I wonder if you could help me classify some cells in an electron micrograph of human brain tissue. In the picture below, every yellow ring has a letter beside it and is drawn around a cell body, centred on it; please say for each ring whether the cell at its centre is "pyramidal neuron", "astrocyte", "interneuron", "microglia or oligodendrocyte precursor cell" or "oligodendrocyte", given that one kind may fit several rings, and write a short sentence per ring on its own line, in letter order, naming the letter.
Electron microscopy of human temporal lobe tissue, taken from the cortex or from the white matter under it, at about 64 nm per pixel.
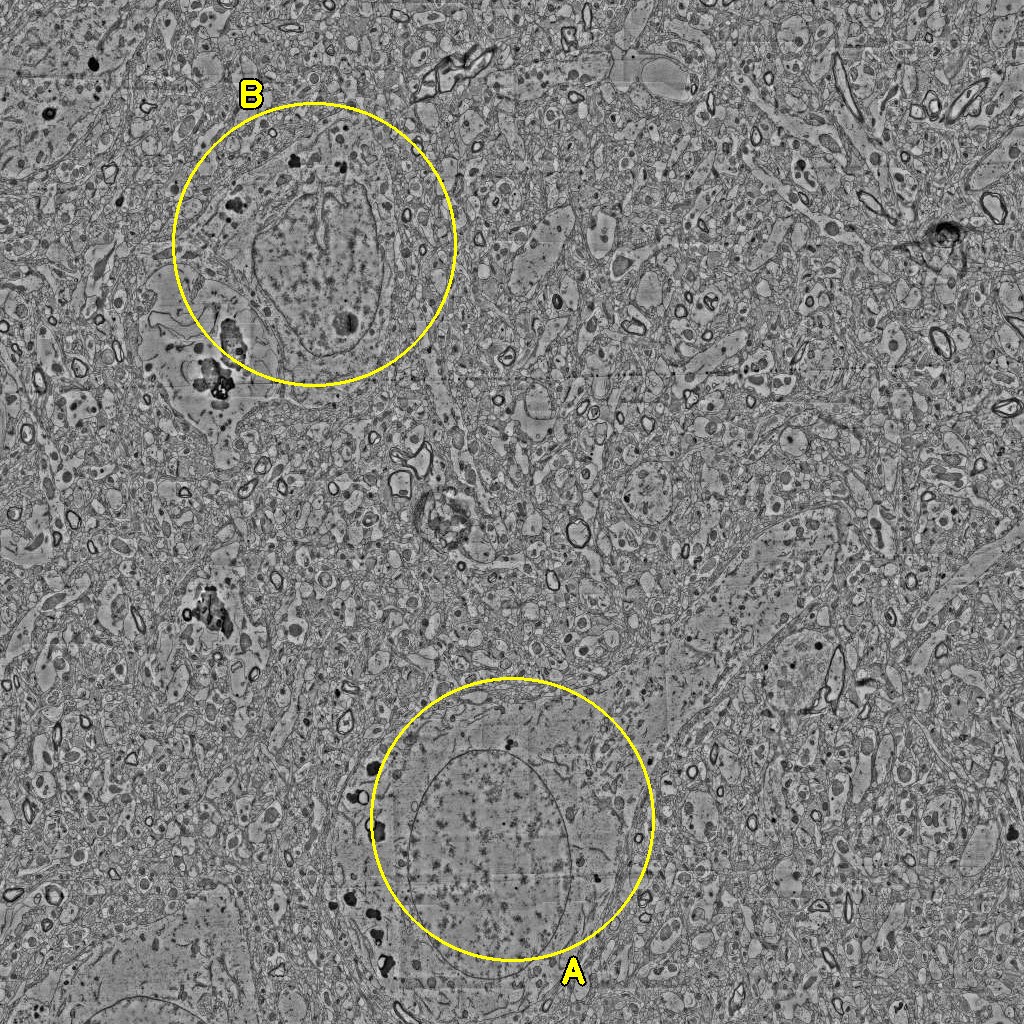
Centred in ring A is a pyramidal neuron.
Centred in ring B is an interneuron.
